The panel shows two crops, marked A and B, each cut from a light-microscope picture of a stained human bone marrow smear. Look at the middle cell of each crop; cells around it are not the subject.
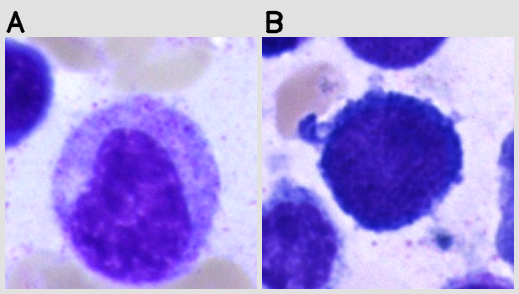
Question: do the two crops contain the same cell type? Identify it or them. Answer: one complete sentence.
No, the cell in crop A is a promyelocyte and the one in crop B is a proerythroblast.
